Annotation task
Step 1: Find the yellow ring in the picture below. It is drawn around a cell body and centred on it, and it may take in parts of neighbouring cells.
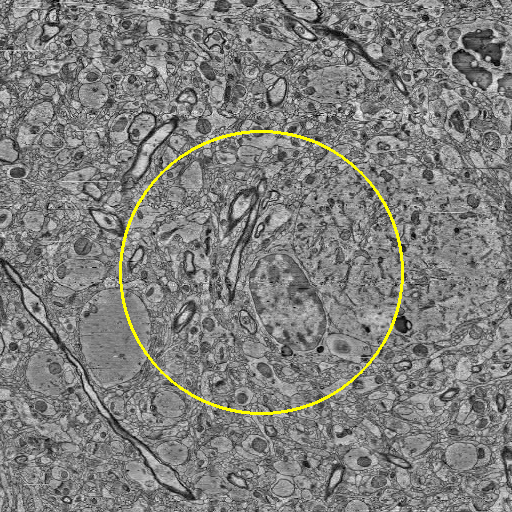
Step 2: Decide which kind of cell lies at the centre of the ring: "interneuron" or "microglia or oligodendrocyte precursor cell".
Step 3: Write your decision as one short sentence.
The kind of cell at the ring's centre is a microglial cell or oligodendrocyte precursor cell.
